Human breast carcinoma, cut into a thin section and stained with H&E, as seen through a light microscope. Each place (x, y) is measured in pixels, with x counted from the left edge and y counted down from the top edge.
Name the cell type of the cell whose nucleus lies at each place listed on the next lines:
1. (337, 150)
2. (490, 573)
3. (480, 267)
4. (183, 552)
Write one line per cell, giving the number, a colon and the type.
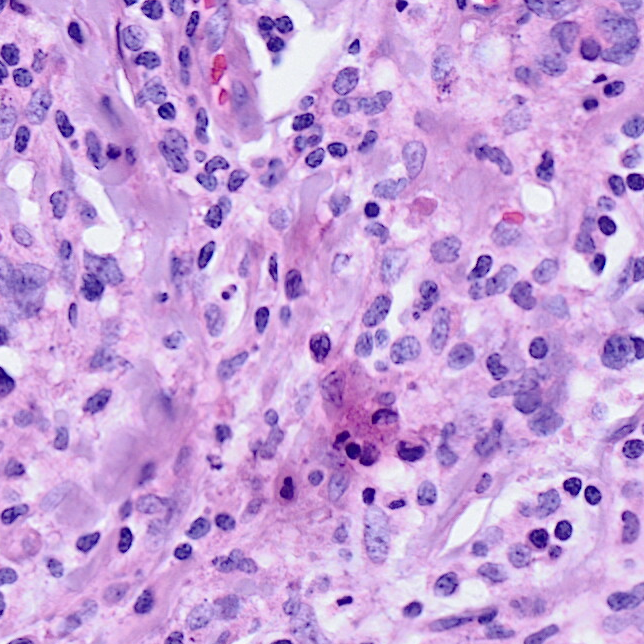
1: lymphocyte
2: macrophage, monocyte or dendritic cell
3: lymphocyte
4: lymphocyte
